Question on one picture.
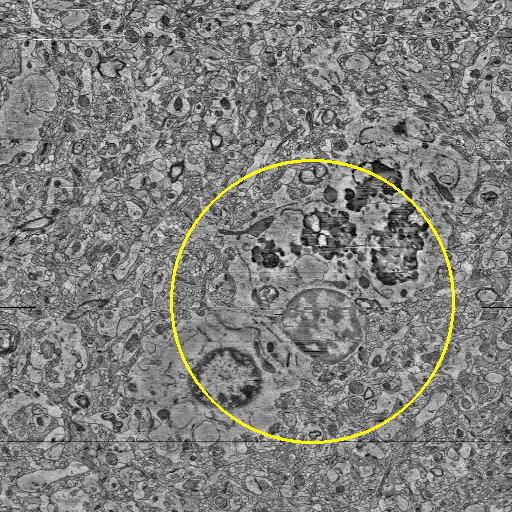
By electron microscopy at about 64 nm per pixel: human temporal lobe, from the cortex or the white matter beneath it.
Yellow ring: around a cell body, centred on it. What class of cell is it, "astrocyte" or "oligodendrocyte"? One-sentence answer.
This is an oligodendrocyte, the cell the ring is centred on.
